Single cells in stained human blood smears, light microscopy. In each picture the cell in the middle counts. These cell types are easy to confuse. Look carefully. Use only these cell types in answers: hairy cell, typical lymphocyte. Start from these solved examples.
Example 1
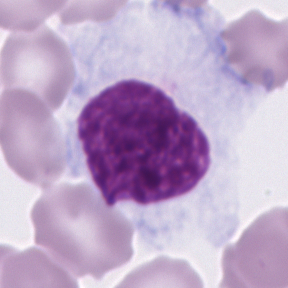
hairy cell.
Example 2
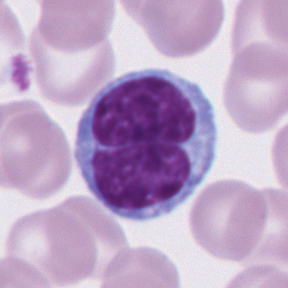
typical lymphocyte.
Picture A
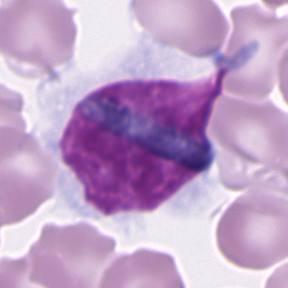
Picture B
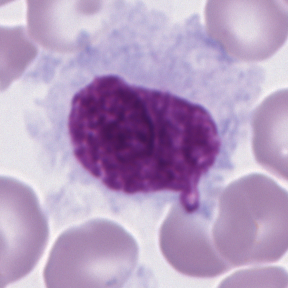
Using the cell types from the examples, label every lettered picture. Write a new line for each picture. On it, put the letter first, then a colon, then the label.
A: hairy cell.
B: hairy cell.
